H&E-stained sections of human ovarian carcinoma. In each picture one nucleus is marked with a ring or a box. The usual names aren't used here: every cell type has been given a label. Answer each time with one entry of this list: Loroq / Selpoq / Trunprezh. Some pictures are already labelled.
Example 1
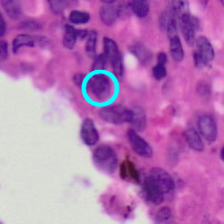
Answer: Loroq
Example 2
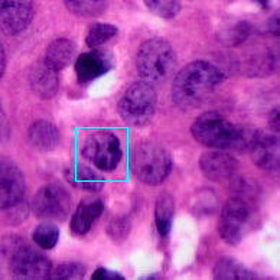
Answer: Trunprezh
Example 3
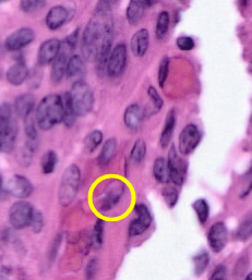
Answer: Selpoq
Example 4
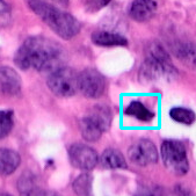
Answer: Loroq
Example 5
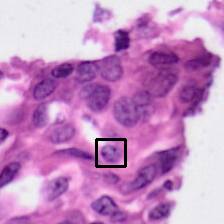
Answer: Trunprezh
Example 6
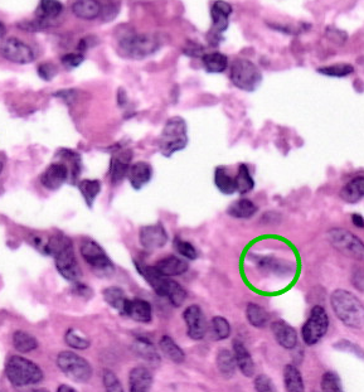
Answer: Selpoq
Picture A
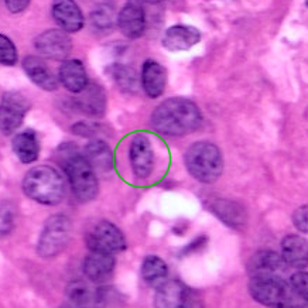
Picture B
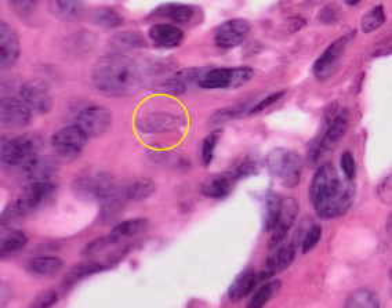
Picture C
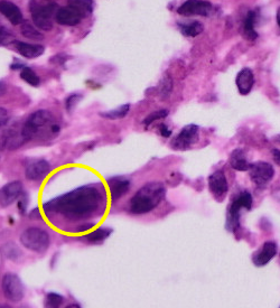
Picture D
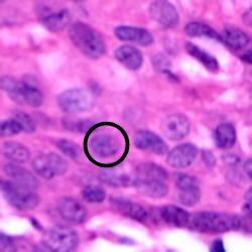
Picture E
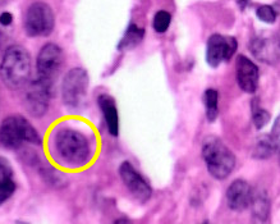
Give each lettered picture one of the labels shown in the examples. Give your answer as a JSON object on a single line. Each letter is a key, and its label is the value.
{"A": "Trunprezh", "B": "Selpoq", "C": "Loroq", "D": "Loroq", "E": "Loroq"}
